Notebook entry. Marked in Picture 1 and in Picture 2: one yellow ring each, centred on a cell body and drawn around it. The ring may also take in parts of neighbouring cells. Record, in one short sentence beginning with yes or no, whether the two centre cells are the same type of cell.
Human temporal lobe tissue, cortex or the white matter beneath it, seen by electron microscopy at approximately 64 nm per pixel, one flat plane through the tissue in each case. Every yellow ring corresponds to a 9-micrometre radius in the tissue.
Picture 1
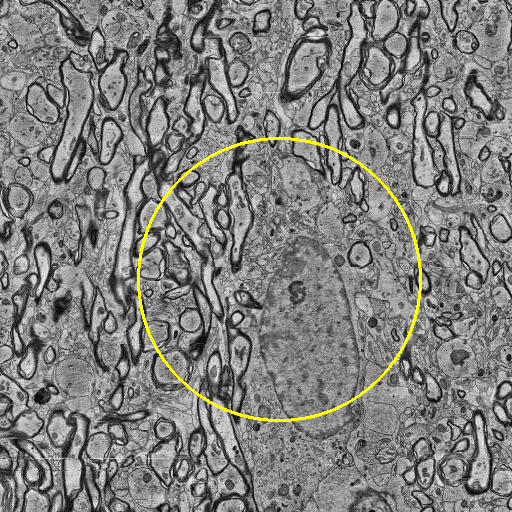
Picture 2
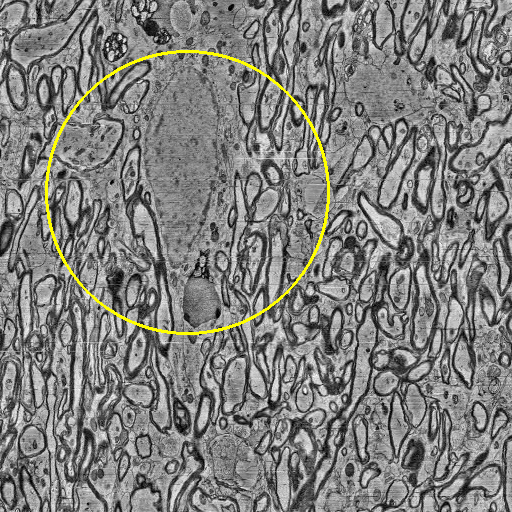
No, they are two types of cell.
